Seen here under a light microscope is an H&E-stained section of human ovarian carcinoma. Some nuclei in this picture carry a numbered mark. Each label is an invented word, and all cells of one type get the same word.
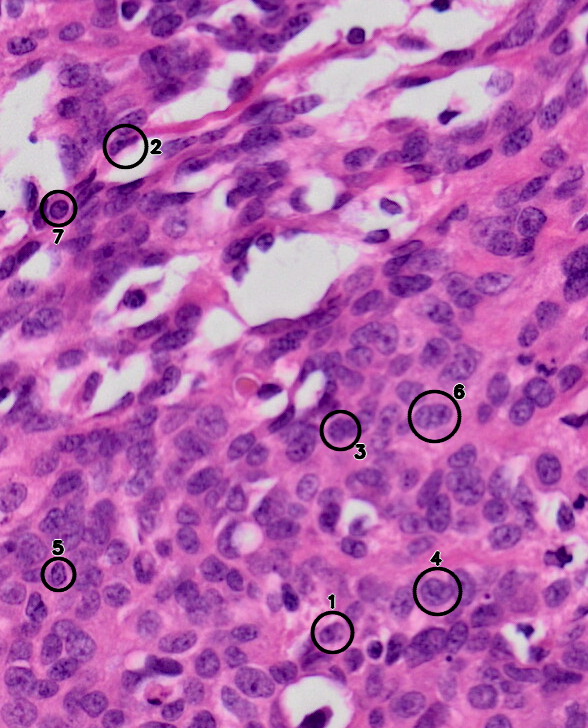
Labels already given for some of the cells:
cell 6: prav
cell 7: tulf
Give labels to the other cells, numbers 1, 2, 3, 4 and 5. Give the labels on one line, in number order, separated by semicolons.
tulf; tulf; prav; prav; tulf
